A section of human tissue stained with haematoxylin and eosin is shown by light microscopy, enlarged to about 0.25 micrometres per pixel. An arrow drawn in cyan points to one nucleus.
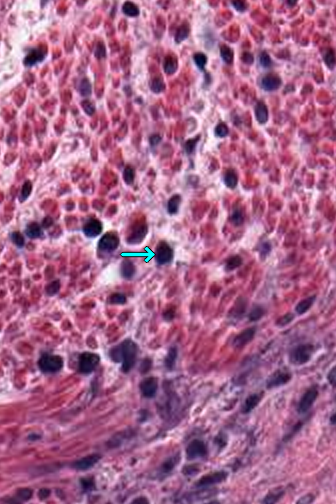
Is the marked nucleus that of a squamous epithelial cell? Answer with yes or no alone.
no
